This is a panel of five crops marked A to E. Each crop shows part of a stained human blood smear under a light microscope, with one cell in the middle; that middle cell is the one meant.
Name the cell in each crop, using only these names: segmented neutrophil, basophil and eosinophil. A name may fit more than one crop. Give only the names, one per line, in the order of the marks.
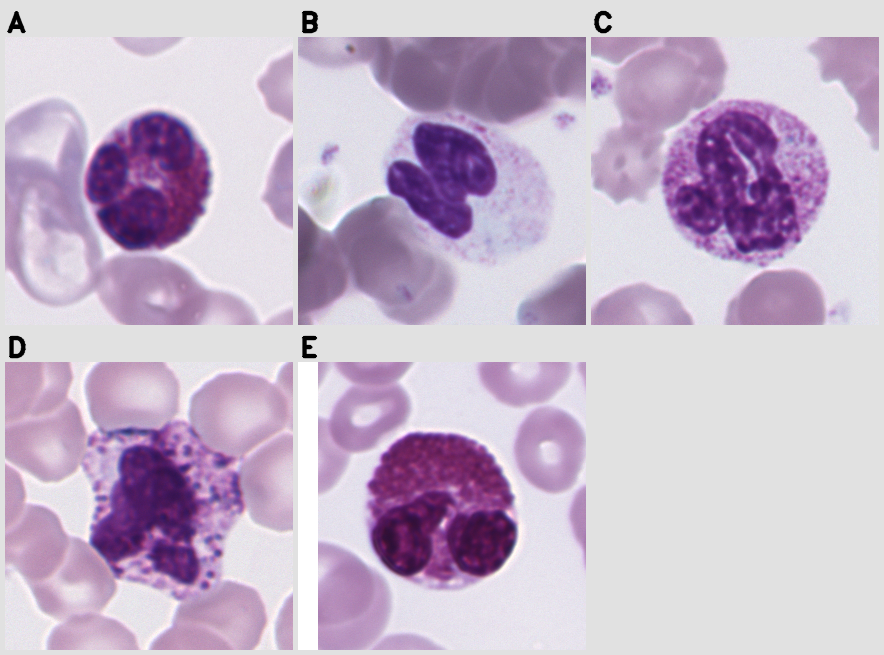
eosinophil
segmented neutrophil
segmented neutrophil
basophil
eosinophil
